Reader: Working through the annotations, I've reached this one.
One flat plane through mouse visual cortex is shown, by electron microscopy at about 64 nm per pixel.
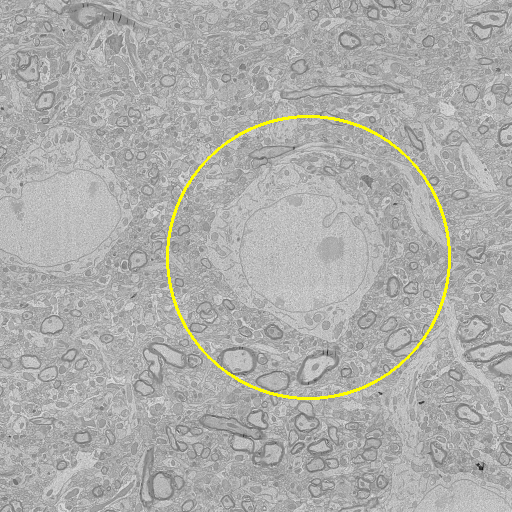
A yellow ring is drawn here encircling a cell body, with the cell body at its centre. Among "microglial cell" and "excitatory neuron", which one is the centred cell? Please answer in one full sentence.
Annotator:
The cell body at the centre of the yellow ring in this image belongs to an excitatory neuron.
